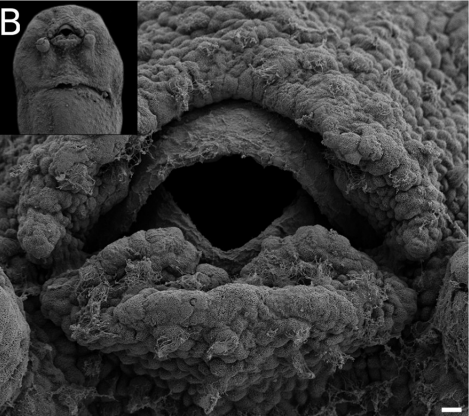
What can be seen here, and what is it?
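This is a developing tadpole oral disc in scanning electron view, with the mouth now opened into a dark, wide gap framed by thick upper and lower lips. The lip surfaces are made of bulging, rounded epithelial cells, clustered into lumpy folds. The lower lip forms a broad, lobed fold beneath the opening, and no teeth are yet present along the ridges.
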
